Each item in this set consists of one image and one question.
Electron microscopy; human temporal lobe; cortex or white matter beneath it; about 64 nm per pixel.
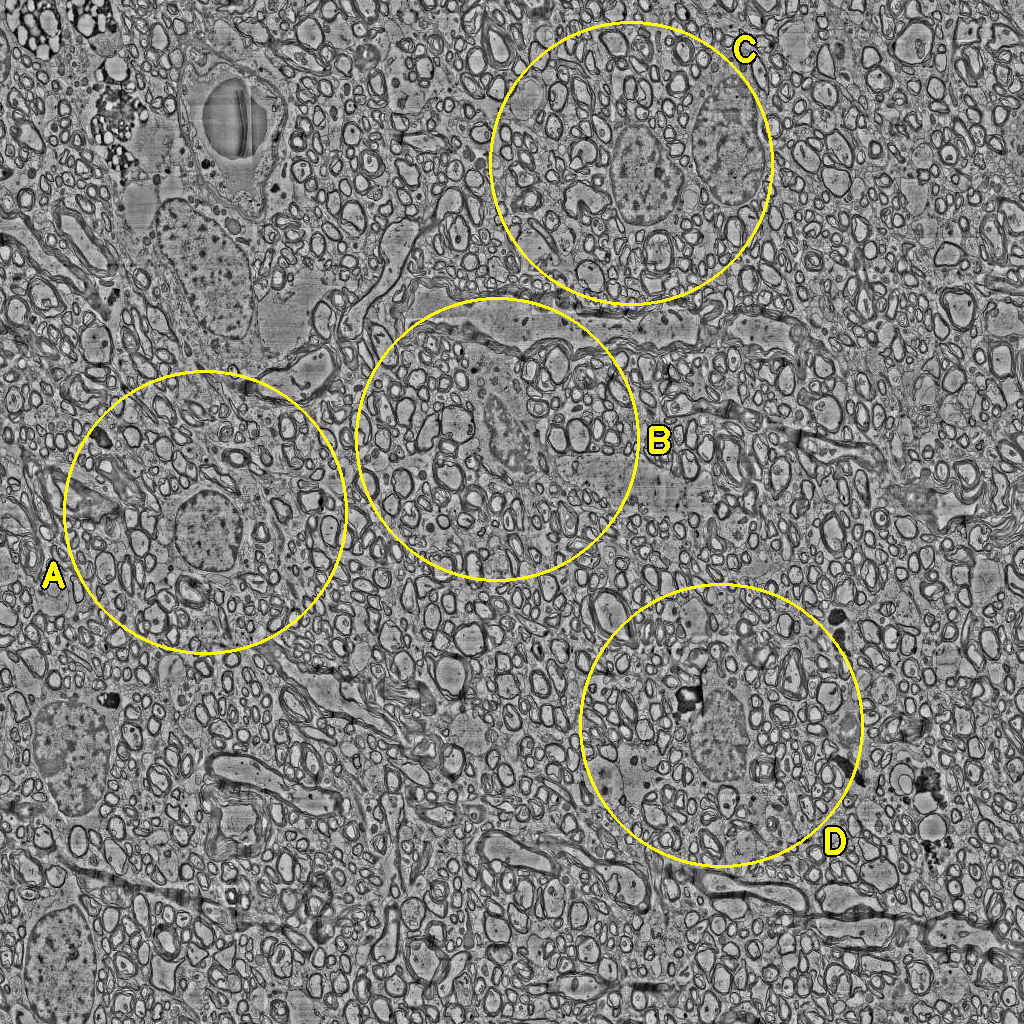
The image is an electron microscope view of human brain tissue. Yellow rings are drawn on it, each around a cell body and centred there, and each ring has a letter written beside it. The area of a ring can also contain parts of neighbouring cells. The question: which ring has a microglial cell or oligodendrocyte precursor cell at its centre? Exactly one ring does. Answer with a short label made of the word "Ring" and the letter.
Ring A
